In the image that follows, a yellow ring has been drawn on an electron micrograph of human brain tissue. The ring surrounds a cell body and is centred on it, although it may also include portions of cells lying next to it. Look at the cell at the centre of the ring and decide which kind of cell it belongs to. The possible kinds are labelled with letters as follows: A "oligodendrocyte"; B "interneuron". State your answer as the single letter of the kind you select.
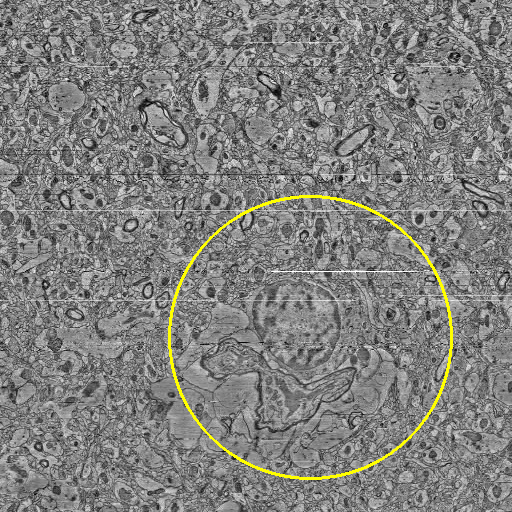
A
